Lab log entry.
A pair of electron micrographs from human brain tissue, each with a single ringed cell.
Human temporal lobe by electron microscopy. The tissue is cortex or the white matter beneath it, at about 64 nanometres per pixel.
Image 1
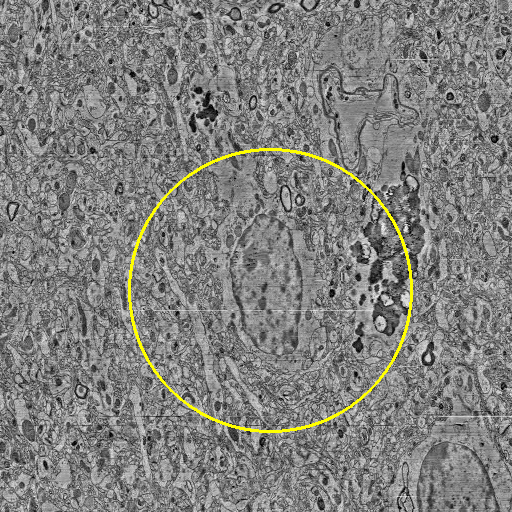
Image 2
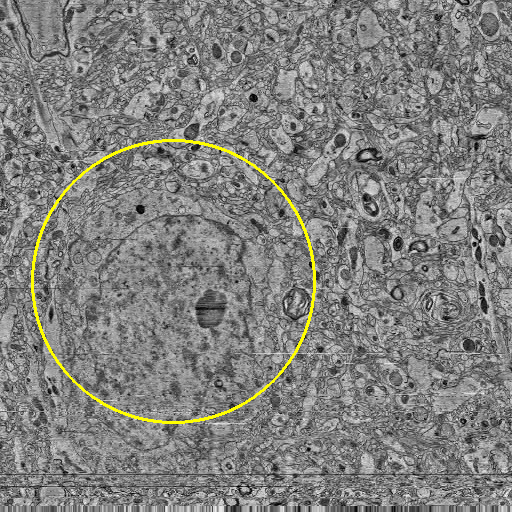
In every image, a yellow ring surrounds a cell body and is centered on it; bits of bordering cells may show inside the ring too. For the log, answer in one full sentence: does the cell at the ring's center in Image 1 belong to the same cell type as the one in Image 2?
No, the cells at the ring centers in Image 1 and Image 2 are of separate types.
